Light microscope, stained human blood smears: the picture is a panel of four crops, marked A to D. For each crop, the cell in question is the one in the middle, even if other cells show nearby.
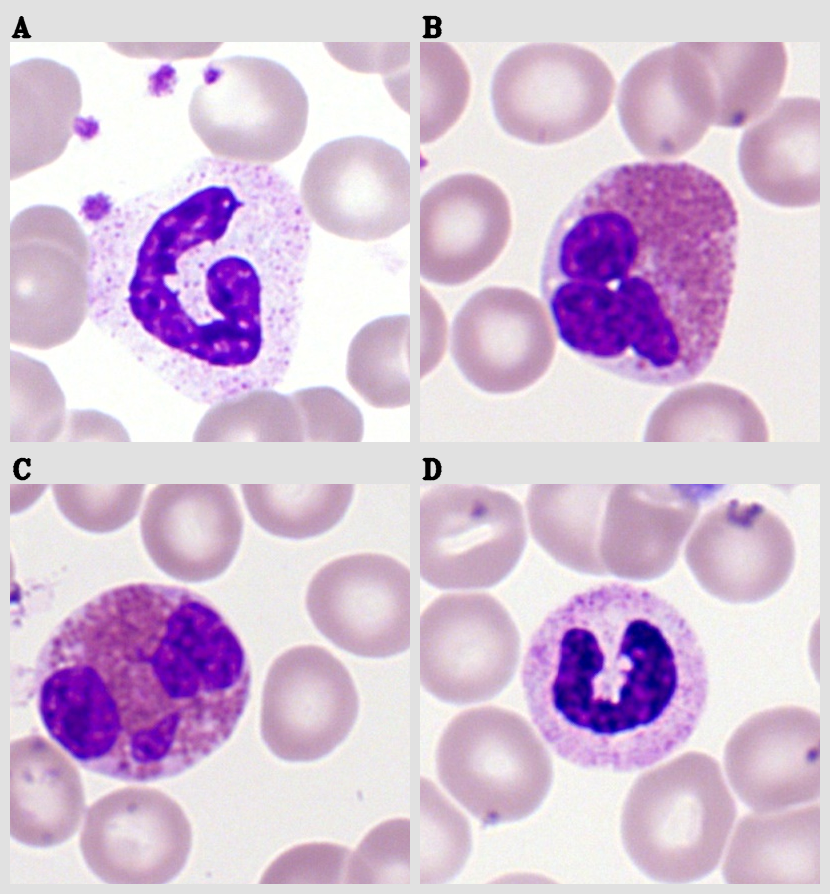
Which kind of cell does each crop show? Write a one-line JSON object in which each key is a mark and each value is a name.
{"A": "band neutrophil", "B": "eosinophil", "C": "eosinophil", "D": "band neutrophil"}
